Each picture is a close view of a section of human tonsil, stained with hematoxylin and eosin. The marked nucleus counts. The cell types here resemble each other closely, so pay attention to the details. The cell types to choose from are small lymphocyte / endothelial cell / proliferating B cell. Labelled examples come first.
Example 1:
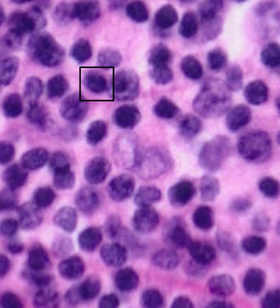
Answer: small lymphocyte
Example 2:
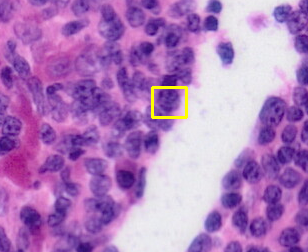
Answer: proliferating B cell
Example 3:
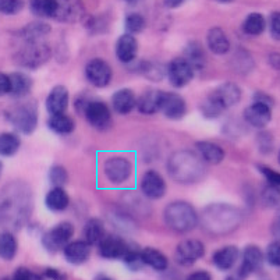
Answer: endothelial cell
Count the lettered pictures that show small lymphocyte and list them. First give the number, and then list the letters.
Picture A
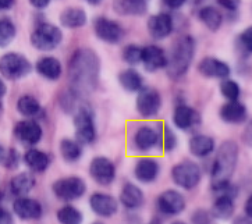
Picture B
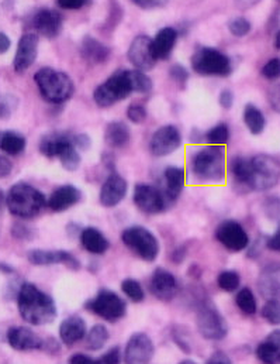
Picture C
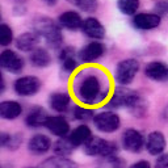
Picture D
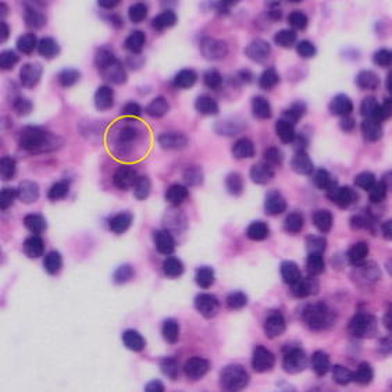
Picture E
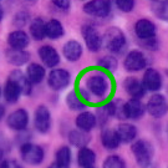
3: A, C, E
